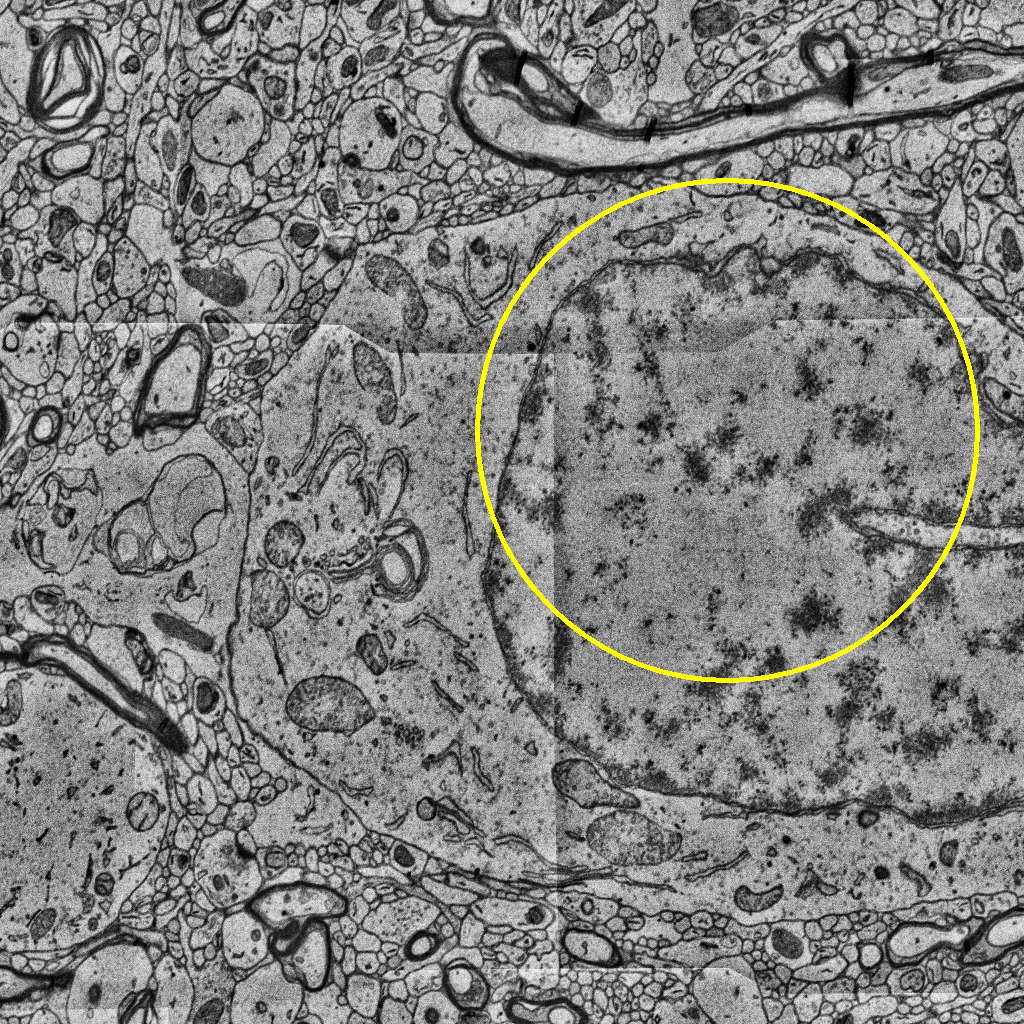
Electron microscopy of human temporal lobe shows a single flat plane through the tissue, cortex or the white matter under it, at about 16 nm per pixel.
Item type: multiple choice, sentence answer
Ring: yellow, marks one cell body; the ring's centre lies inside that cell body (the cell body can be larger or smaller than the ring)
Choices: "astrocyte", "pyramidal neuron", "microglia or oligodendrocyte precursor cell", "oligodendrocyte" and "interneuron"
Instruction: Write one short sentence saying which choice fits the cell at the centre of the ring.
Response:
The centre of this ring lies on an interneuron.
